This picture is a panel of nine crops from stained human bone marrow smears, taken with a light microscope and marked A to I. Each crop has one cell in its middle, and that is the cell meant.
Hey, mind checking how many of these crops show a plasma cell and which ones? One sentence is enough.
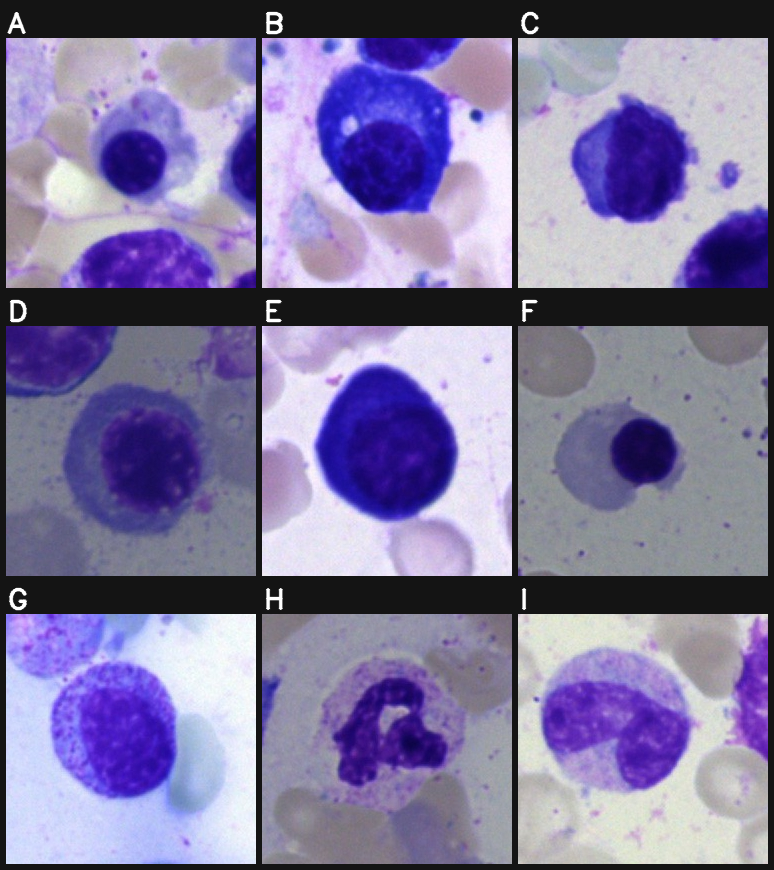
The three crops B, C and E are those that show plasma cells.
